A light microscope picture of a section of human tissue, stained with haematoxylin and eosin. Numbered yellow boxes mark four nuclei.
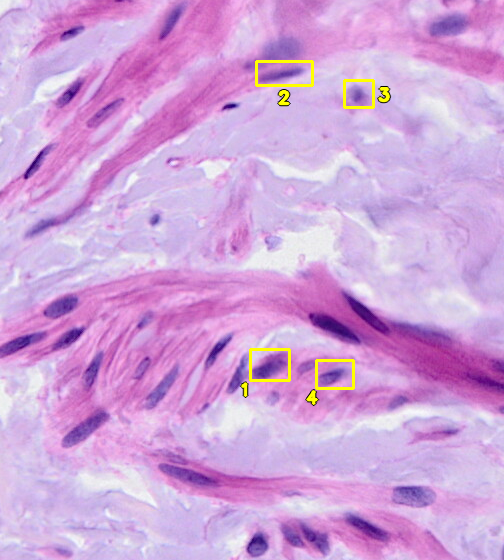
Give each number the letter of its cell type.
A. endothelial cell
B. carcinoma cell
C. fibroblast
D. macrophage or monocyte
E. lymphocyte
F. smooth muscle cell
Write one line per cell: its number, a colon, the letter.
1: F
2: F
3: C
4: F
